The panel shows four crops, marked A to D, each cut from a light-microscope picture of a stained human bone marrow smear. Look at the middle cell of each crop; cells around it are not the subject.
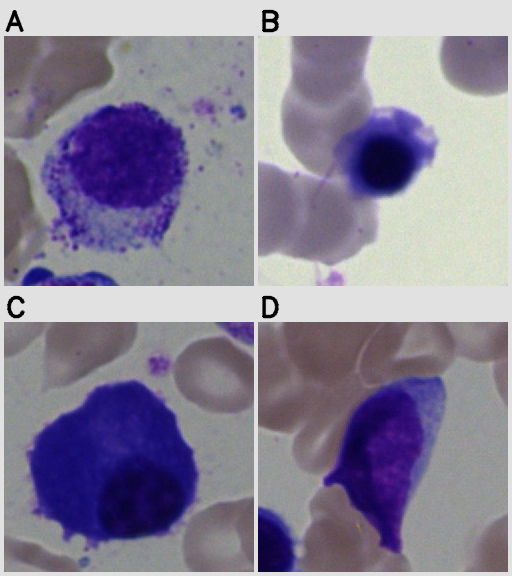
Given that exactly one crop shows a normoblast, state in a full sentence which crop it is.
Crop B is the crop whose central cell is a normoblast.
